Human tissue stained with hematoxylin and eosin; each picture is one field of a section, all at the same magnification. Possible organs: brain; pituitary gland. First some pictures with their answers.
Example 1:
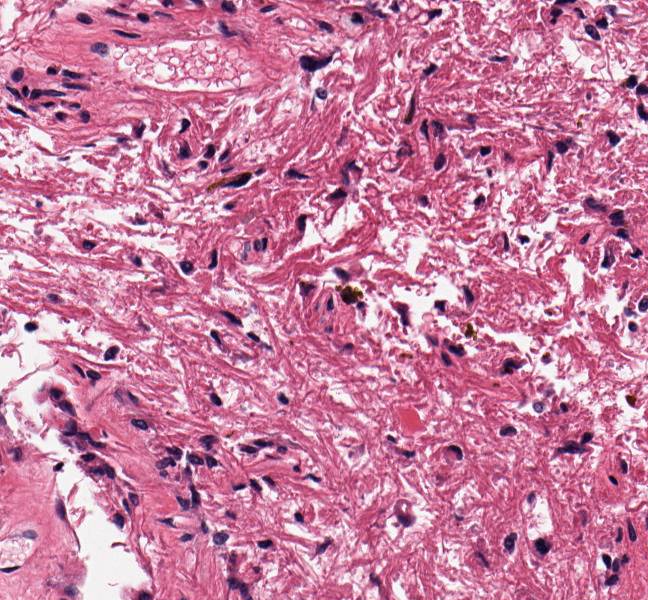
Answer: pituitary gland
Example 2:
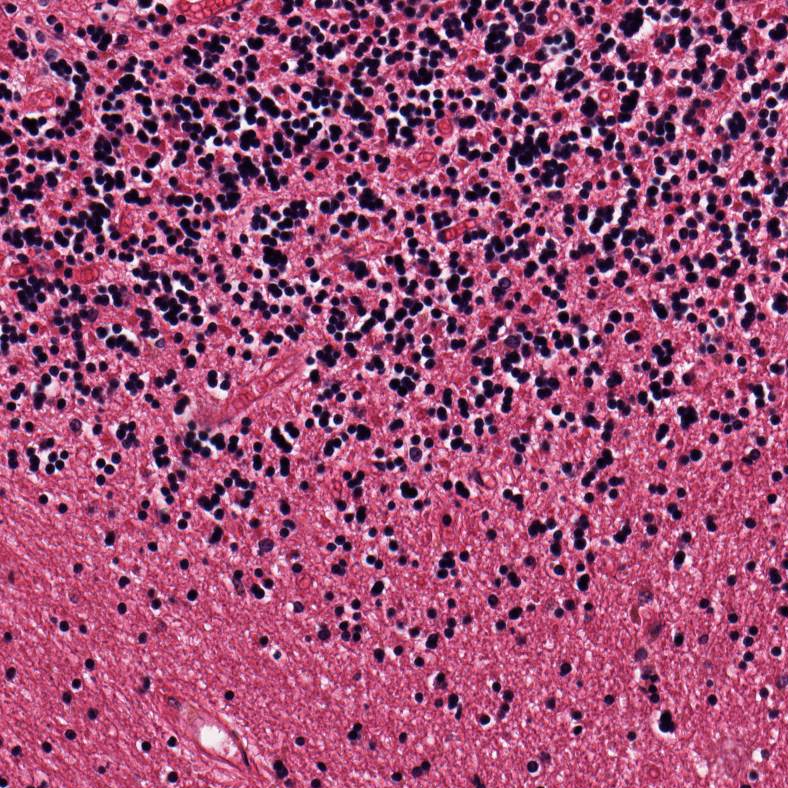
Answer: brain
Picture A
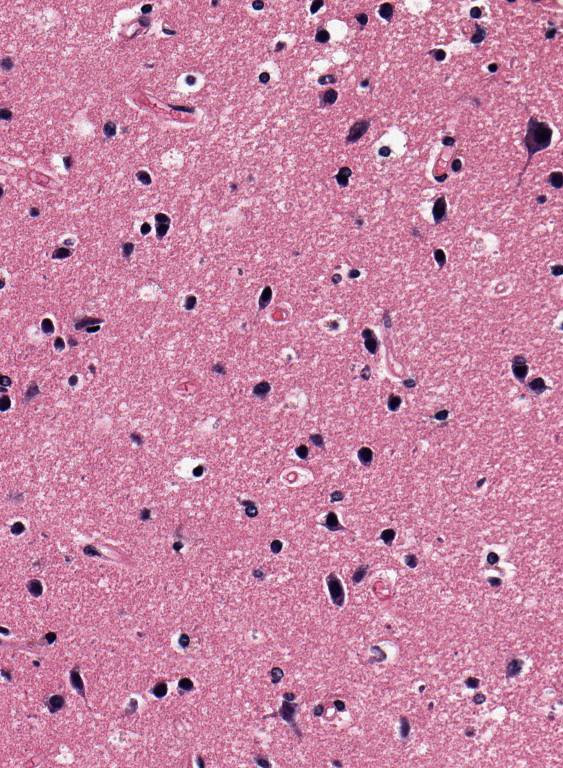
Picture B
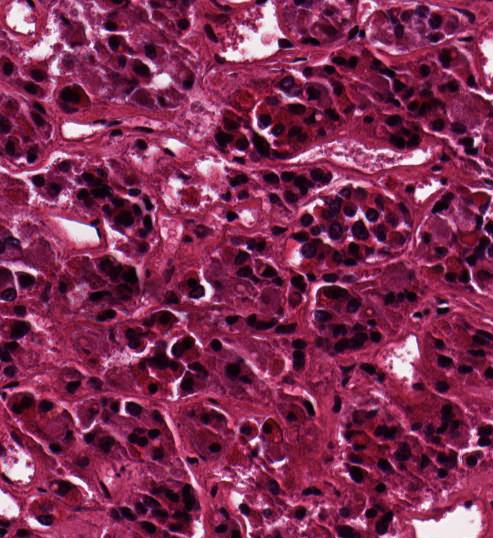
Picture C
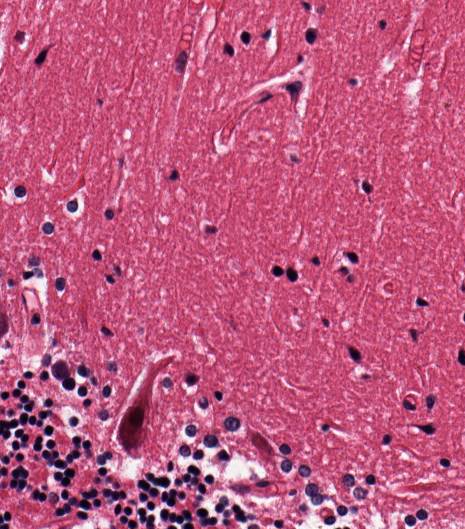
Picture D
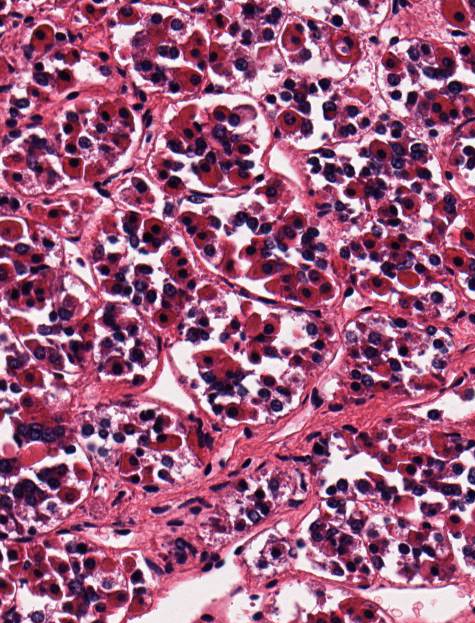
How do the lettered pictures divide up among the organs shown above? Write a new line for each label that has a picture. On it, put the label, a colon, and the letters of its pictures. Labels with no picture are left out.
brain: A, C
pituitary gland: B, D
